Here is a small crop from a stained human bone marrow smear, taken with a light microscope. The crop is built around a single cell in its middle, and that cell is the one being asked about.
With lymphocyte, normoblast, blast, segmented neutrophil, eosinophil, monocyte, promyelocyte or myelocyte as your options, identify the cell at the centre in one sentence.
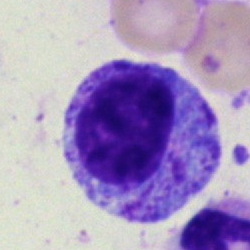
Here the centrally located cell is a myelocyte.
